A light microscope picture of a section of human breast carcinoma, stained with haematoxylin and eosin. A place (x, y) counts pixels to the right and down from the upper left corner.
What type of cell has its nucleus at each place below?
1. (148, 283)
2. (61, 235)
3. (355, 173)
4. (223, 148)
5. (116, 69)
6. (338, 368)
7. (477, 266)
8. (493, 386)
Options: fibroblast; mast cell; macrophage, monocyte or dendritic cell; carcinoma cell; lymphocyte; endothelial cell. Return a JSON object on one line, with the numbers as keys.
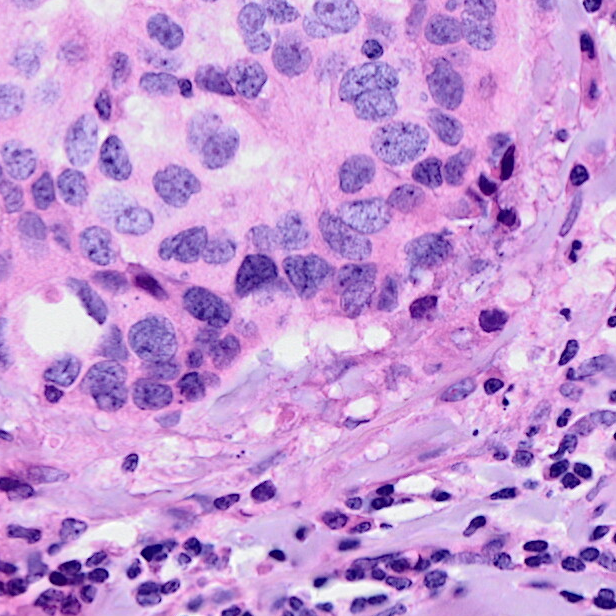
{"1": "carcinoma cell", "2": "carcinoma cell", "3": "carcinoma cell", "4": "carcinoma cell", "5": "carcinoma cell", "6": "fibroblast", "7": "macrophage, monocyte or dendritic cell", "8": "lymphocyte"}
